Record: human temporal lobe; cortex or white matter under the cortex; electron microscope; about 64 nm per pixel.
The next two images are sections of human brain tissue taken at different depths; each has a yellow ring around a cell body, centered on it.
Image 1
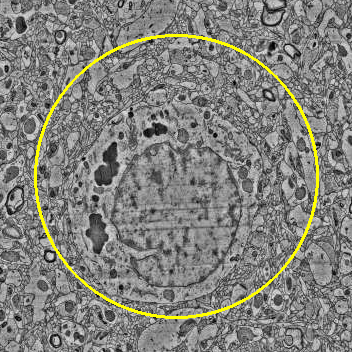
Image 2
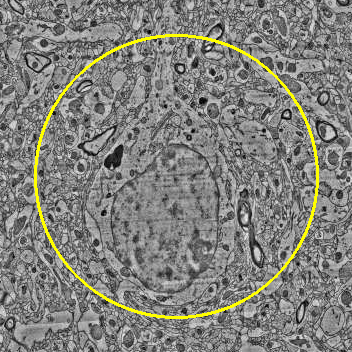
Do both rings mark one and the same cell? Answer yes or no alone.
no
